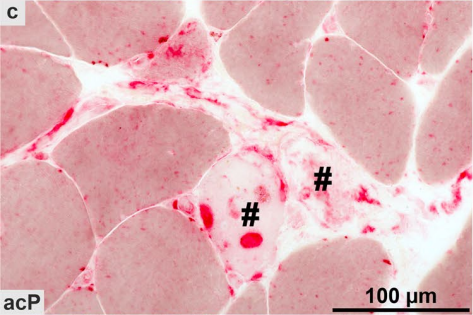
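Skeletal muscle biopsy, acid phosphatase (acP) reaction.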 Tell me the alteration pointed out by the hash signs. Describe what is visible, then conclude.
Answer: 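The marked fibres are pale and loosened compared with the neighbouring pink fibres. Red granular deposits lie inside and around the marked fibres. So: Myophagocytoses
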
